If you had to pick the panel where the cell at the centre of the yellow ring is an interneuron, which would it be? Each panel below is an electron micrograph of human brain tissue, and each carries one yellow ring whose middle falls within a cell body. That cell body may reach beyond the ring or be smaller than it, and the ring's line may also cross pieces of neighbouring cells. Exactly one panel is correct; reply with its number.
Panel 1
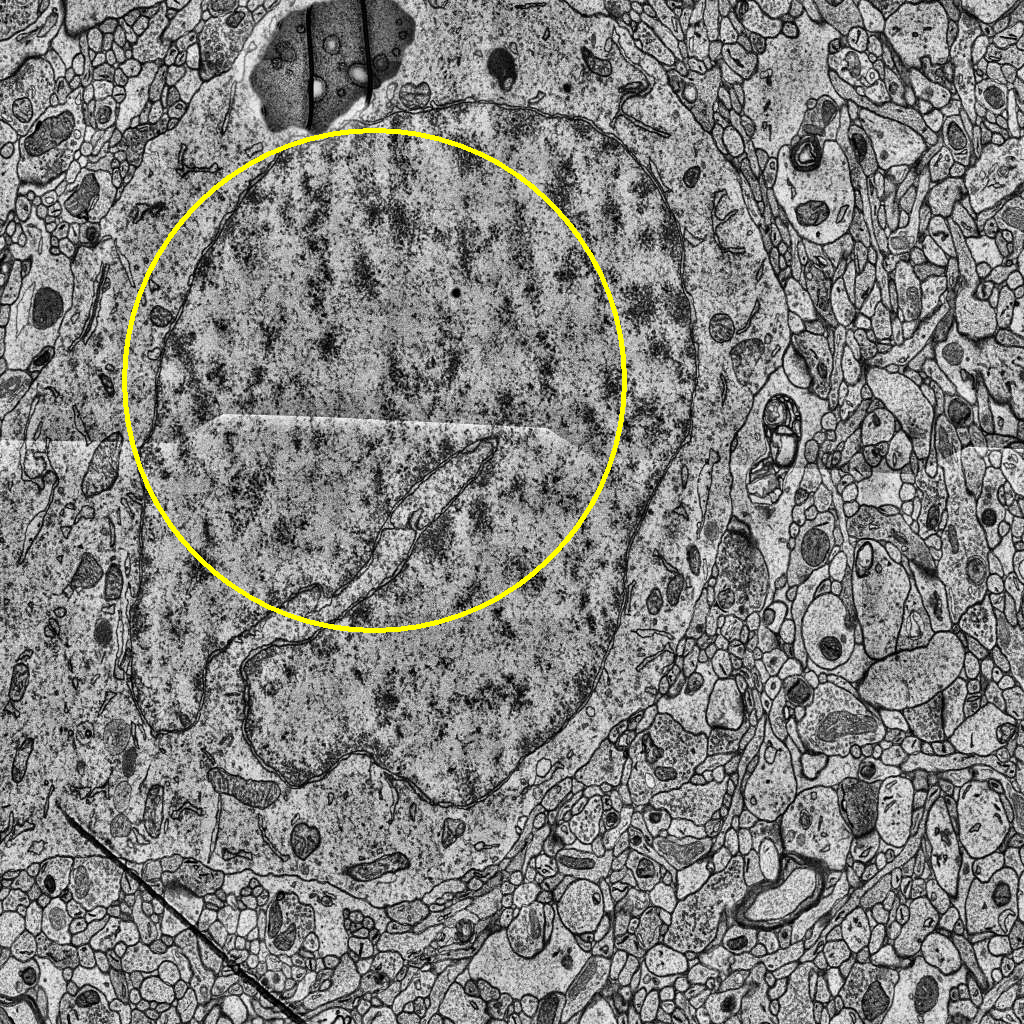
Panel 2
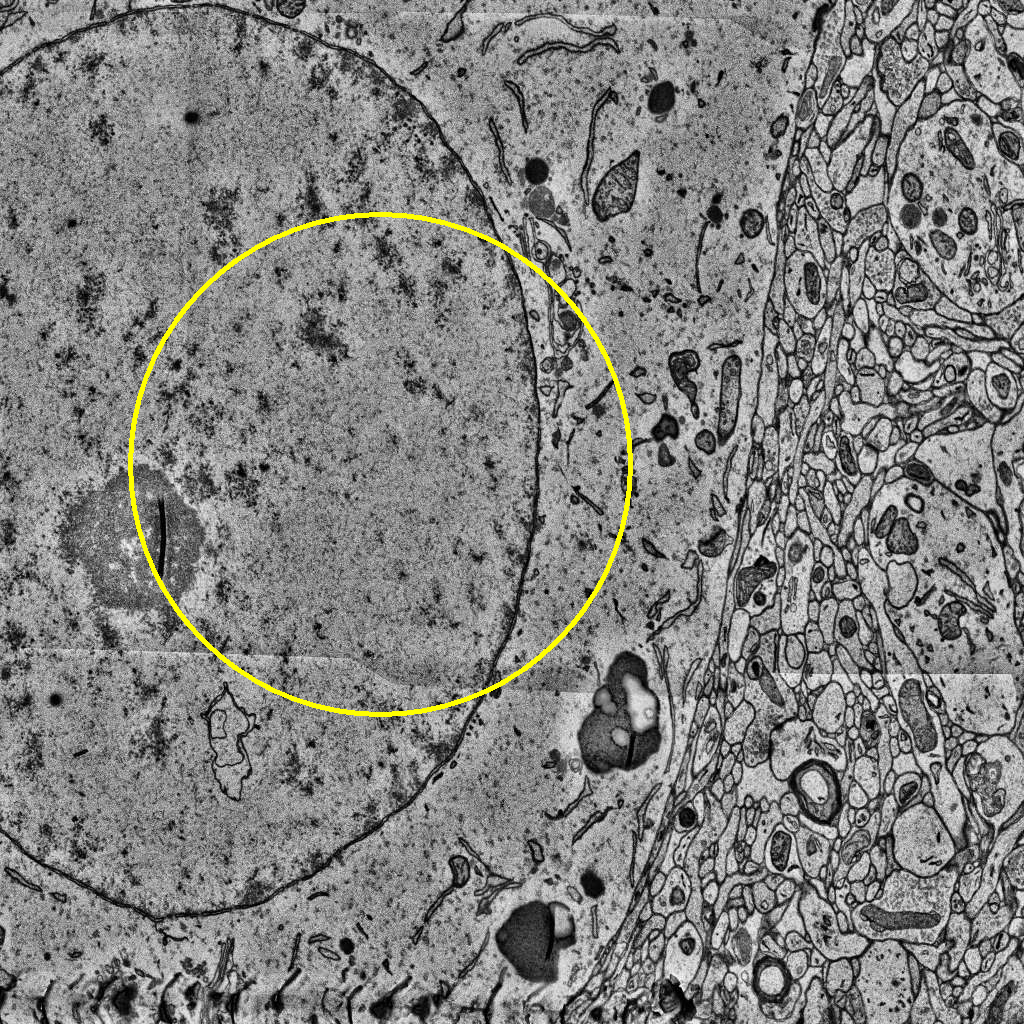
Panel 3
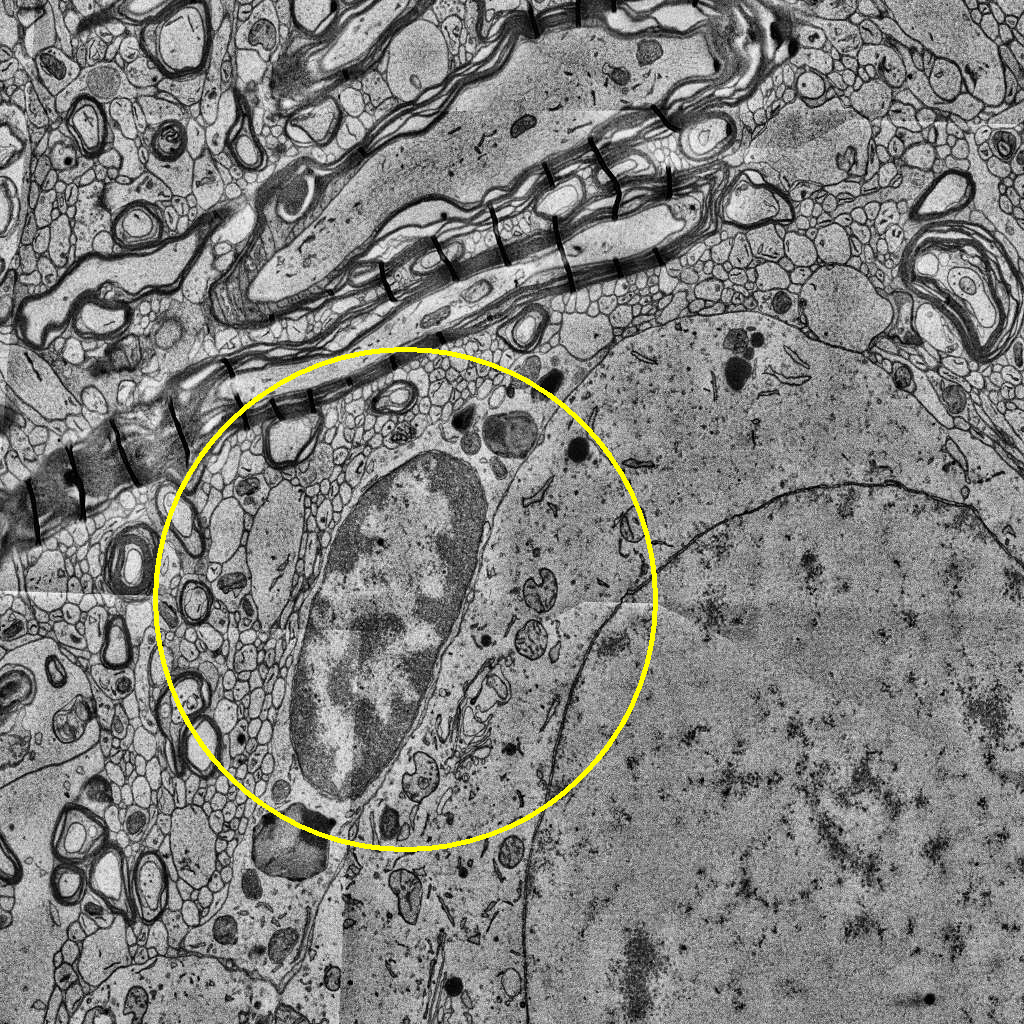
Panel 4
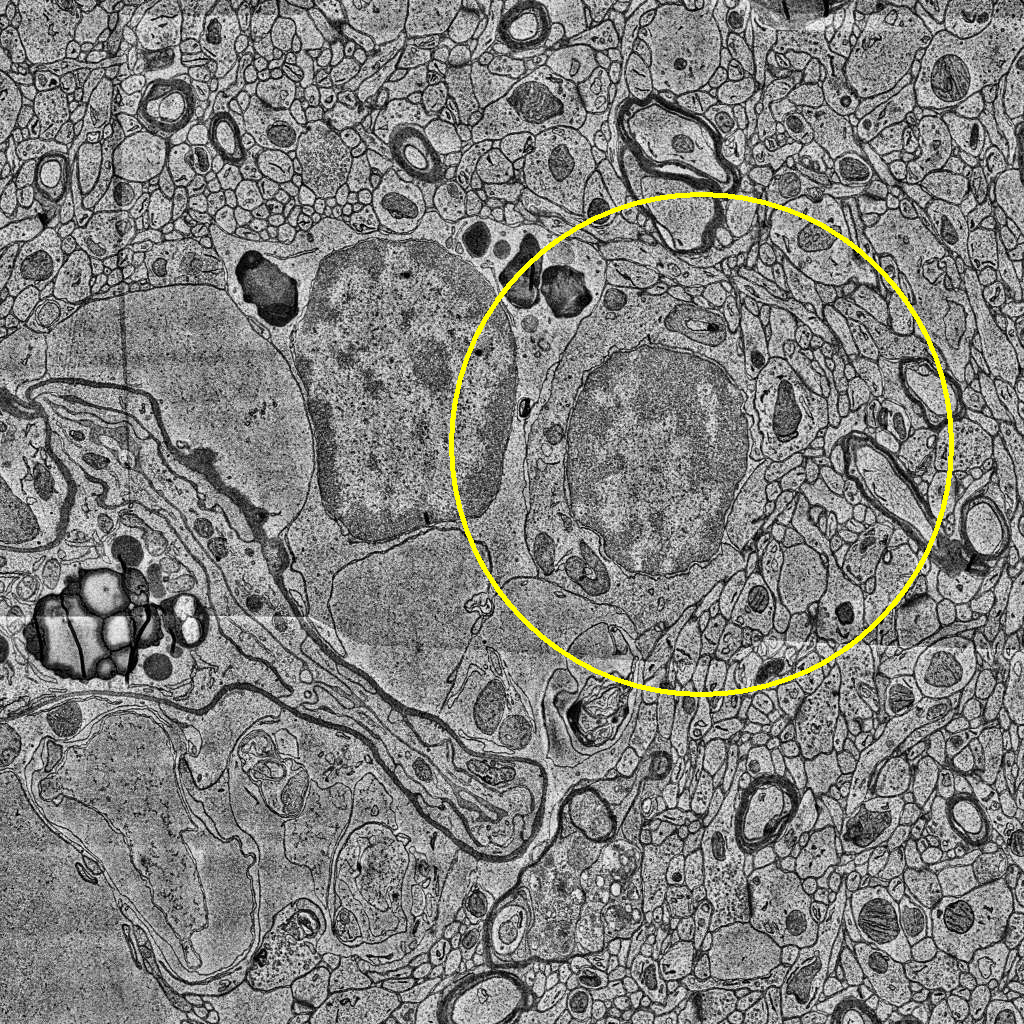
1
